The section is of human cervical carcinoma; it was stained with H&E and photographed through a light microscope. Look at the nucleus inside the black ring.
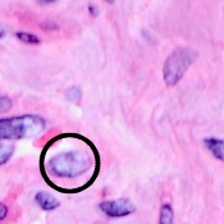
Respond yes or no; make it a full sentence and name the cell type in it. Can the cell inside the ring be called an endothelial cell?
Yes, the cell inside the ring in this section represents an endothelial cell.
